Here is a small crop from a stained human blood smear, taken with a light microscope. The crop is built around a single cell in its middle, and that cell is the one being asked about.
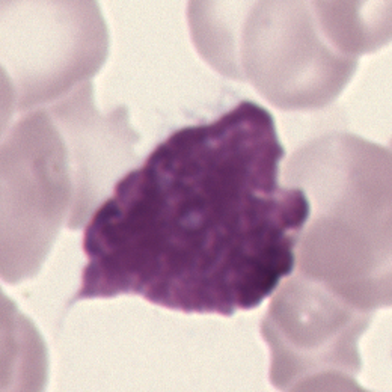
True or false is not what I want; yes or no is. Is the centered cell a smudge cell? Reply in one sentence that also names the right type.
Yes, the central element of the crop is a smudge cell.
